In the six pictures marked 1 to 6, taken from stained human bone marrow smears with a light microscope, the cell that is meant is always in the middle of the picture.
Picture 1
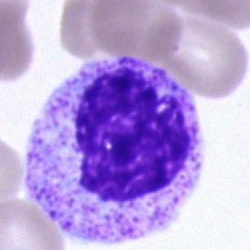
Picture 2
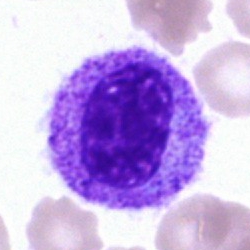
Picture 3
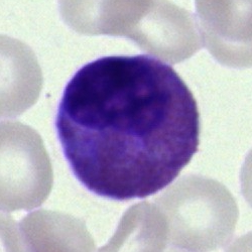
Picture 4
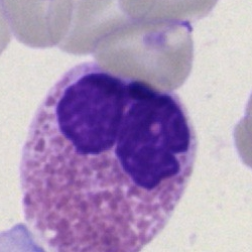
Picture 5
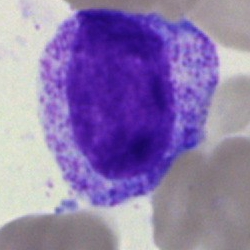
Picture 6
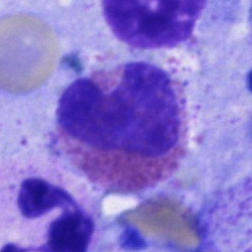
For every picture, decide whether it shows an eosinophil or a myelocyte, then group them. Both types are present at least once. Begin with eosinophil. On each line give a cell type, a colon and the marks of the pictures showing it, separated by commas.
eosinophil: 3, 4, 6
myelocyte: 1, 2, 5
